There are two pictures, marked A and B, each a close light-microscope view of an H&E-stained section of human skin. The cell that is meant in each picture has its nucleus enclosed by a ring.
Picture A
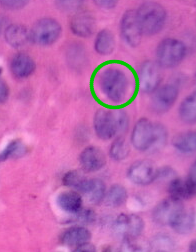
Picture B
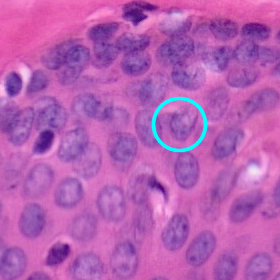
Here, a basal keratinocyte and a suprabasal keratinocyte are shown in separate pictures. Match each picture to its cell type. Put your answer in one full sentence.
The cell in picture A is a basal keratinocyte, and the one in picture B is a suprabasal keratinocyte.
